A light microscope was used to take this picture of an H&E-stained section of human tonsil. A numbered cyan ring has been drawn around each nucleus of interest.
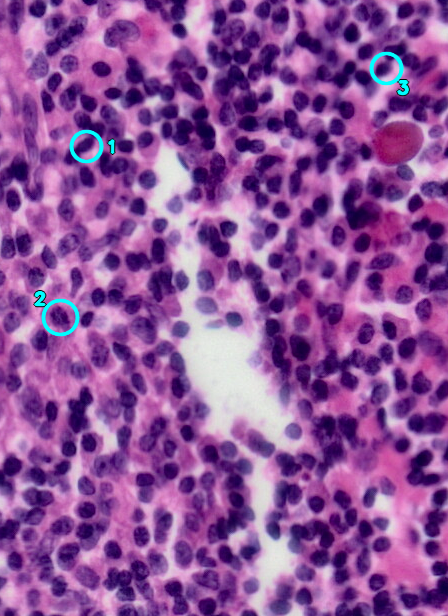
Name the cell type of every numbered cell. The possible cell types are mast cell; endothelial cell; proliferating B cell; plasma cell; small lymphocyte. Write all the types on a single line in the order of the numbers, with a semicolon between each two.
small lymphocyte; plasma cell; small lymphocyte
